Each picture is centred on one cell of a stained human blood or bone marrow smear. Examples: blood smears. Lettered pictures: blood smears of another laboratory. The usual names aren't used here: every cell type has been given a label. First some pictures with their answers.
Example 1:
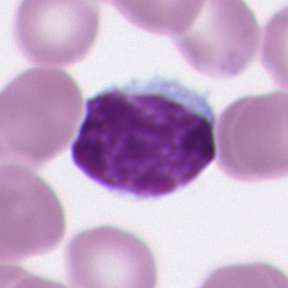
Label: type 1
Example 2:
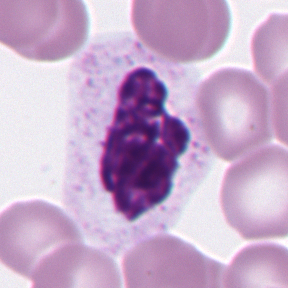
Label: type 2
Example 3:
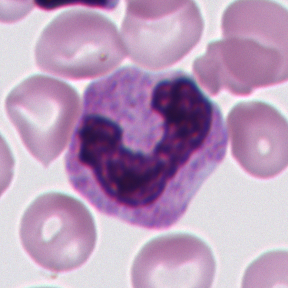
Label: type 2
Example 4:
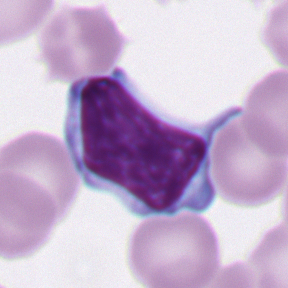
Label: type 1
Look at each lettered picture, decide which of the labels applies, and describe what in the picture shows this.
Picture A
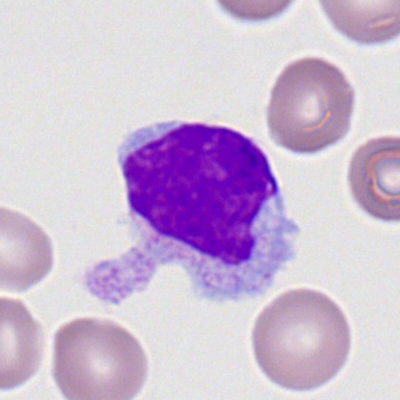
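type 1. Reason: The nucleus is a single unlobed mass.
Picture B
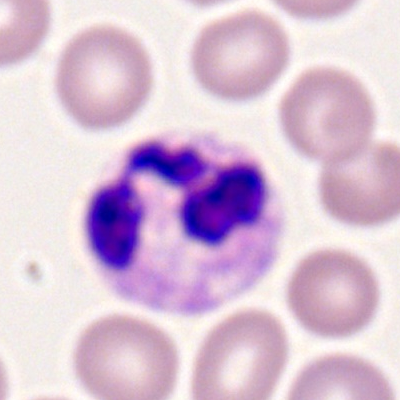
type 2. Reason: The cytoplasm is abundant and pale pinkish-lilac.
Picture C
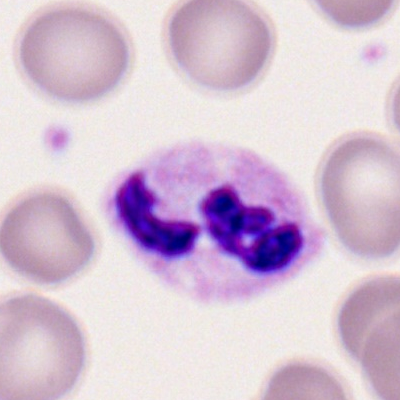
type 2. Reason: The nucleus is split into separate lobes linked by thin strands.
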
